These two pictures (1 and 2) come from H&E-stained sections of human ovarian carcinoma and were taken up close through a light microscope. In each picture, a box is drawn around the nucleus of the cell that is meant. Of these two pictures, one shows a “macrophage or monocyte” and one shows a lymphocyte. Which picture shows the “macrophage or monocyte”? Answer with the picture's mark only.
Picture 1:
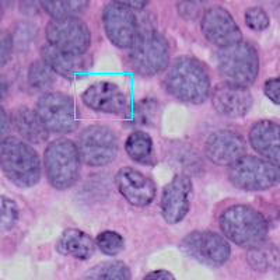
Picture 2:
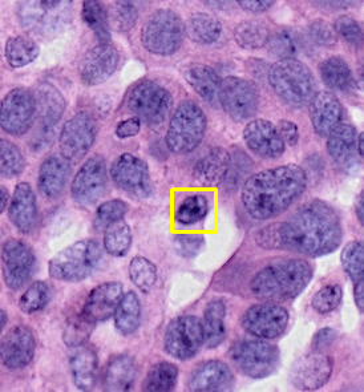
1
